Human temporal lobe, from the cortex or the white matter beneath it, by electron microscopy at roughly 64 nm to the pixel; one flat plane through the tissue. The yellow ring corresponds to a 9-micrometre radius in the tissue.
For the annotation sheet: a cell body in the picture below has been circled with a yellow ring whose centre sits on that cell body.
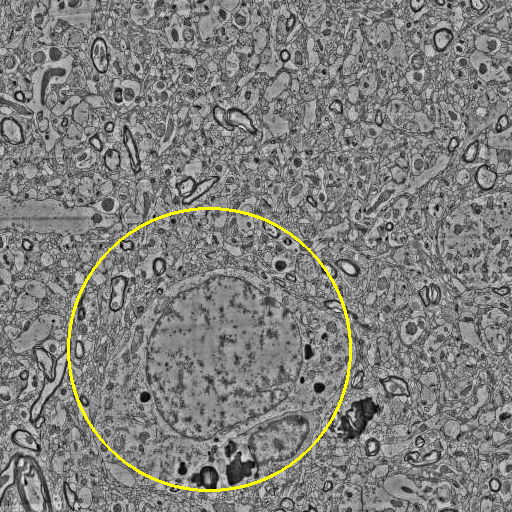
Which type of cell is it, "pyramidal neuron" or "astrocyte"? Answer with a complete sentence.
The circled cell is a pyramidal neuron.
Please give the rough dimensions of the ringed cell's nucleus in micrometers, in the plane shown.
In this plane the nucleus is about 11 micrometres by 9.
